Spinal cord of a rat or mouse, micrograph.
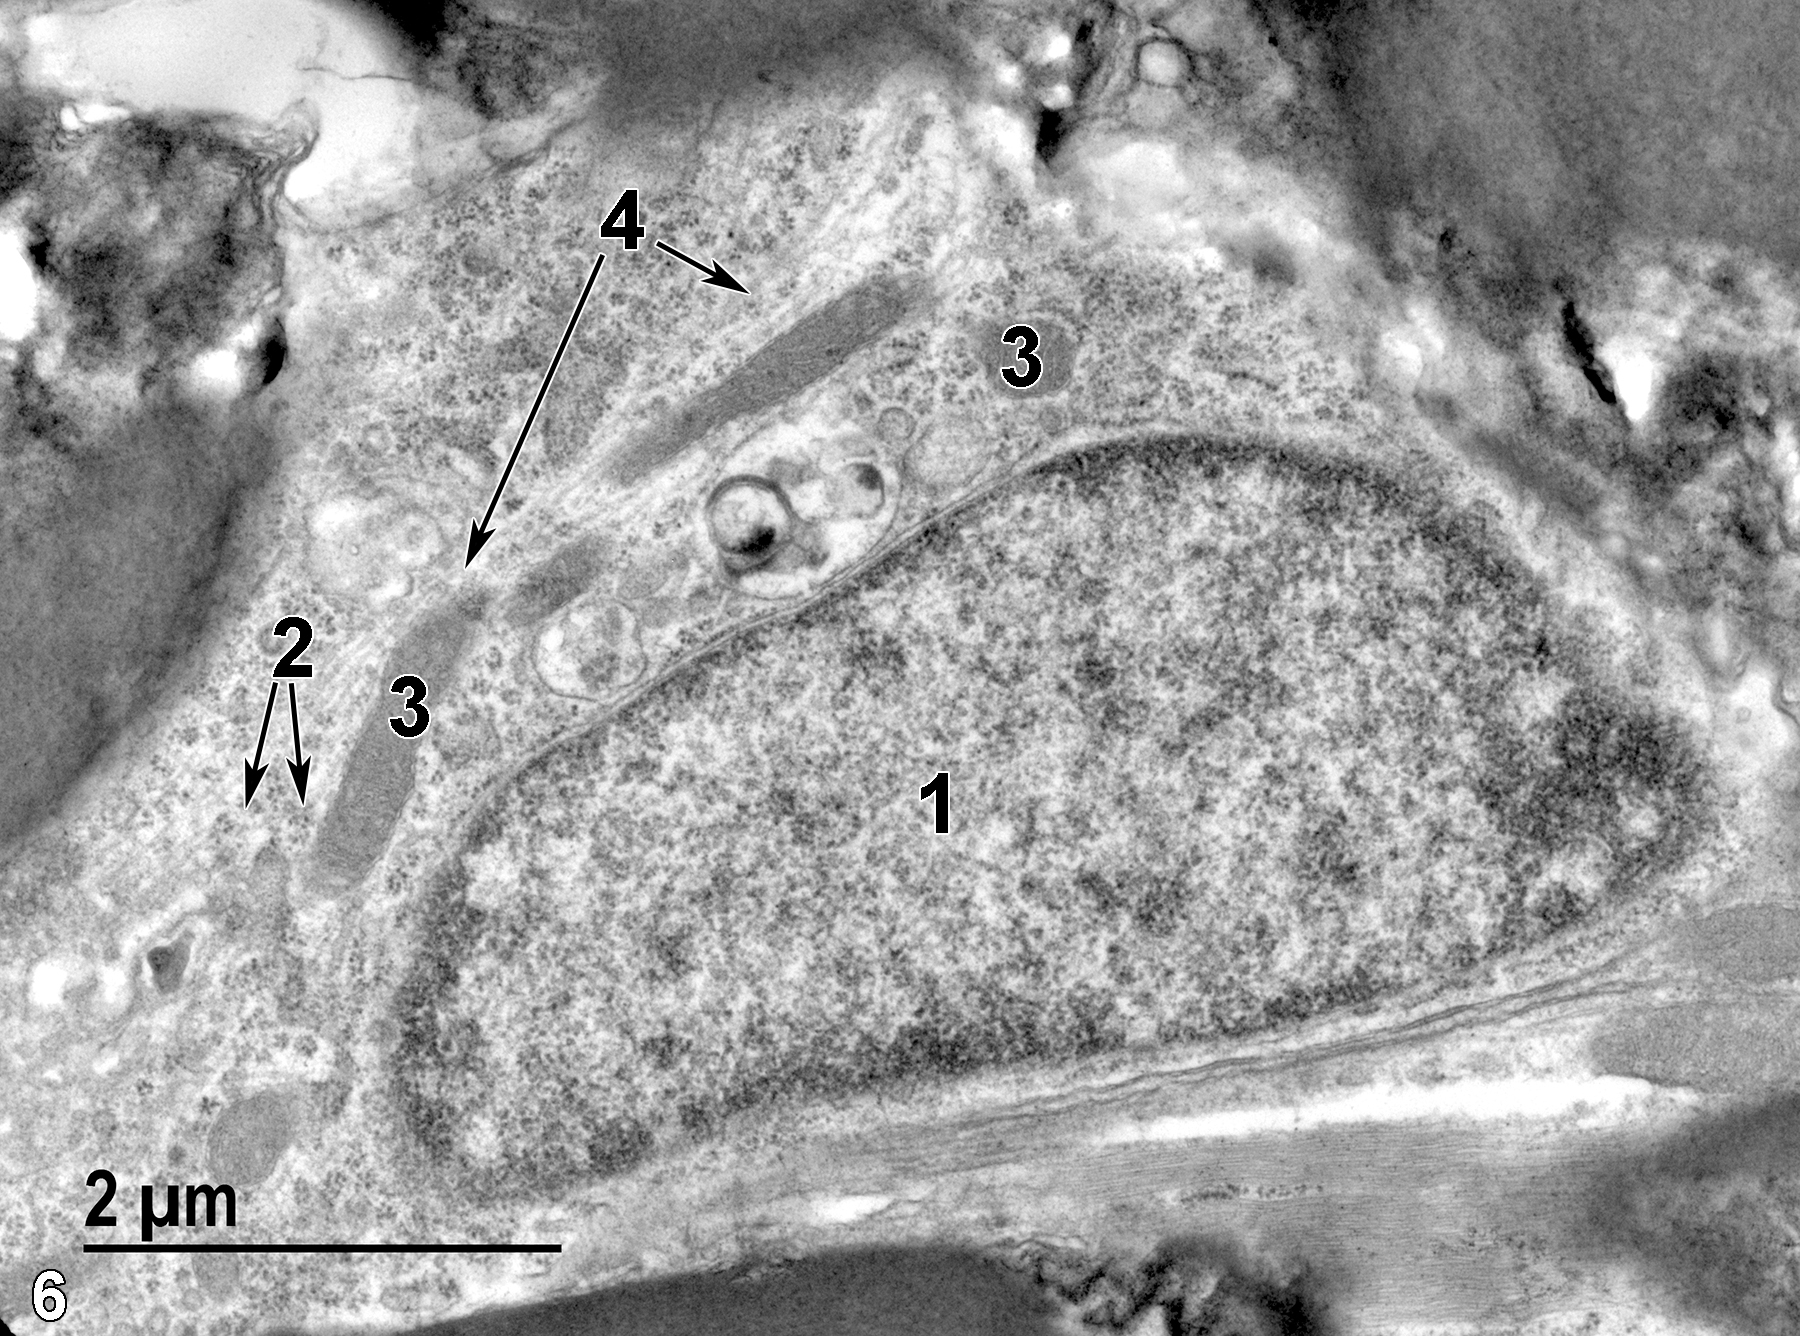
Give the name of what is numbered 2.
Clusters of free ribosomes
